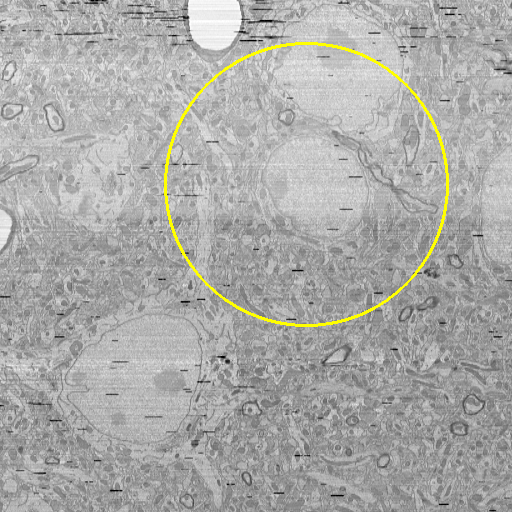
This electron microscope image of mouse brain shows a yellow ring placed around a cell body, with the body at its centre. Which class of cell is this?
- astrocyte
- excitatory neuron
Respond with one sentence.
The cell body at the ring's centre is an astrocyte.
